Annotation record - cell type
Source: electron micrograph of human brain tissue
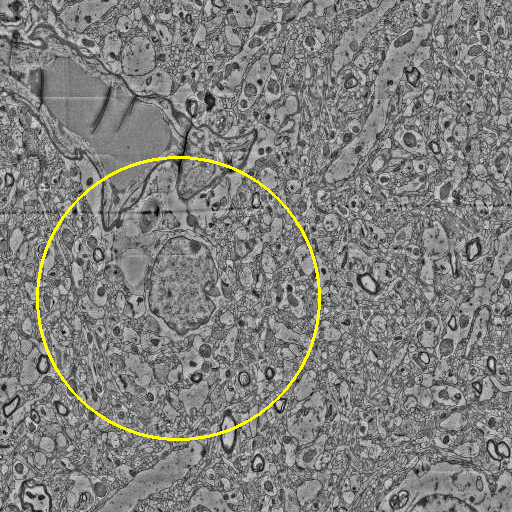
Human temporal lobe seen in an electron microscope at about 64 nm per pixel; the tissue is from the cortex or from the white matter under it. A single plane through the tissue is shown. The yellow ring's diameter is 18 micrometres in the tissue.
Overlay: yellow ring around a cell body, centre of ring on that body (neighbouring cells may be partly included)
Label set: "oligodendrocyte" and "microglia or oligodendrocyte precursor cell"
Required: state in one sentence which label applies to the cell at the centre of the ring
This cell should be labelled as a microglial cell or oligodendrocyte precursor cell.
